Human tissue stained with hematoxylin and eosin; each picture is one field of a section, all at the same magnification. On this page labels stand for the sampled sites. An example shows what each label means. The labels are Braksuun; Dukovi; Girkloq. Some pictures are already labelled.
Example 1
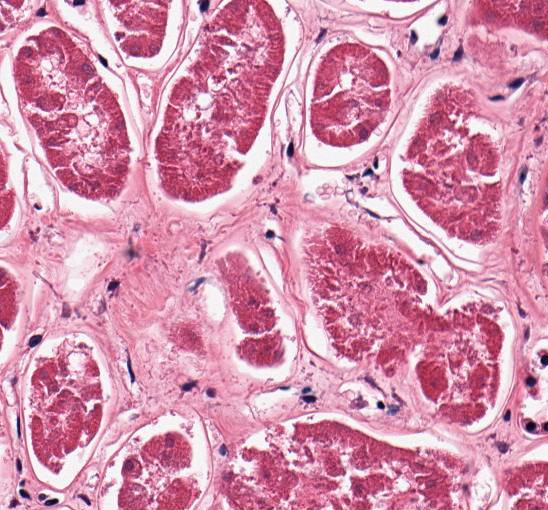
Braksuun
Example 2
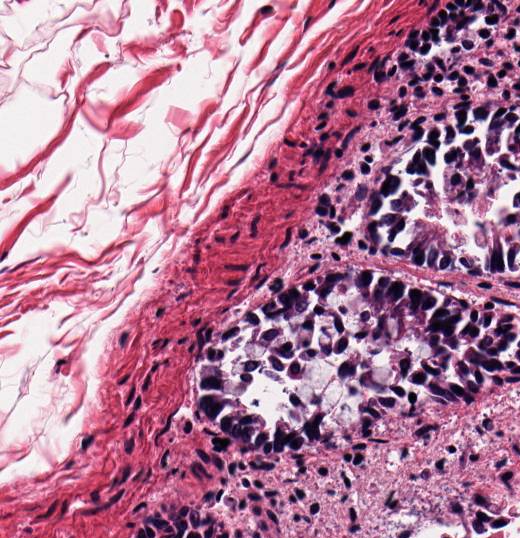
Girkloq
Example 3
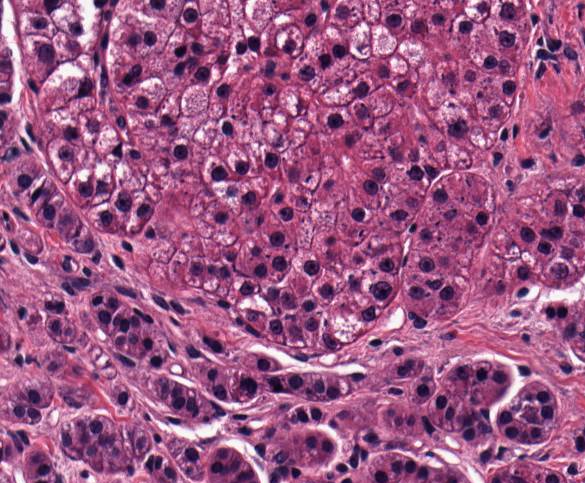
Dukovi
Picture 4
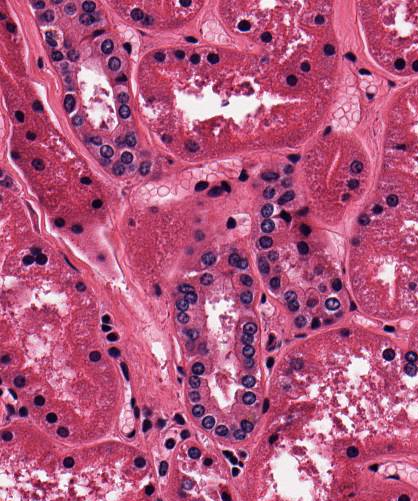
Braksuun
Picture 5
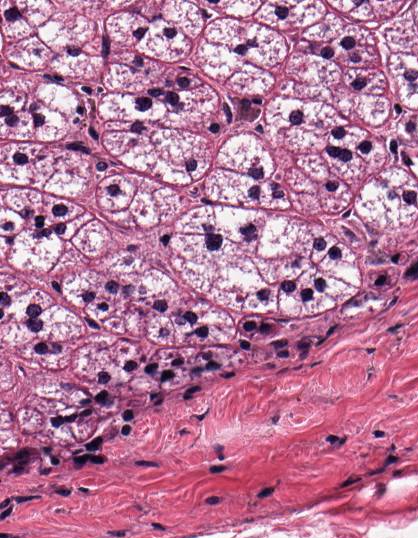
Dukovi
